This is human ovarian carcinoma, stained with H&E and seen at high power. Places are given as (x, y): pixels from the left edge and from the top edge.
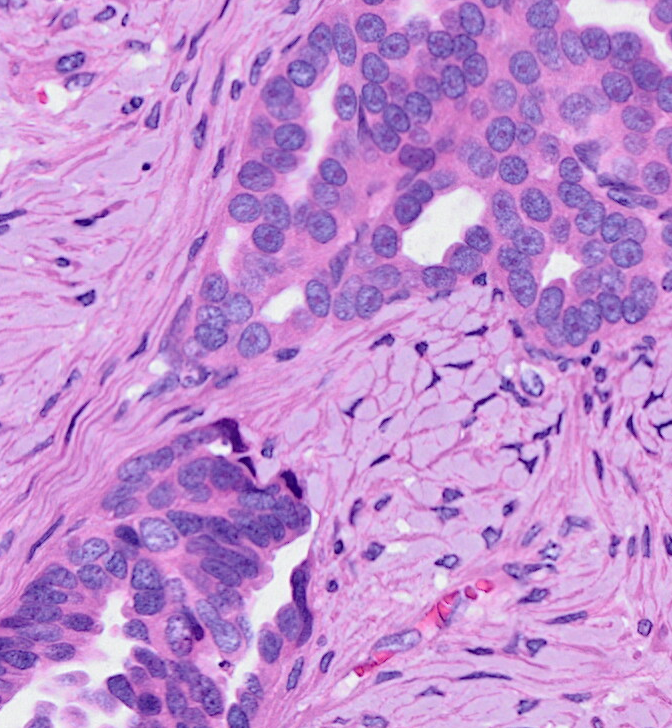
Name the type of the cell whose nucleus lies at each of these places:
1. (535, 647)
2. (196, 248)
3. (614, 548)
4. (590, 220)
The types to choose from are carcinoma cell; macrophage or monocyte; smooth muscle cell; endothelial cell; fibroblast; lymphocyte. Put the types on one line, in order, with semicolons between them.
fibroblast; fibroblast; fibroblast; carcinoma cell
